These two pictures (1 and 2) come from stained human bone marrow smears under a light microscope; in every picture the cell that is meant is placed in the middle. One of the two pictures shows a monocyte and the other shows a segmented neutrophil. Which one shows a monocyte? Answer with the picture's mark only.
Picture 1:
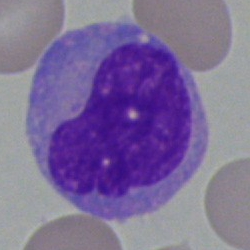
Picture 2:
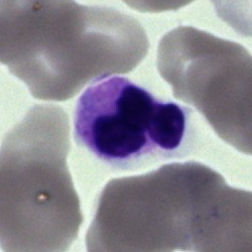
1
